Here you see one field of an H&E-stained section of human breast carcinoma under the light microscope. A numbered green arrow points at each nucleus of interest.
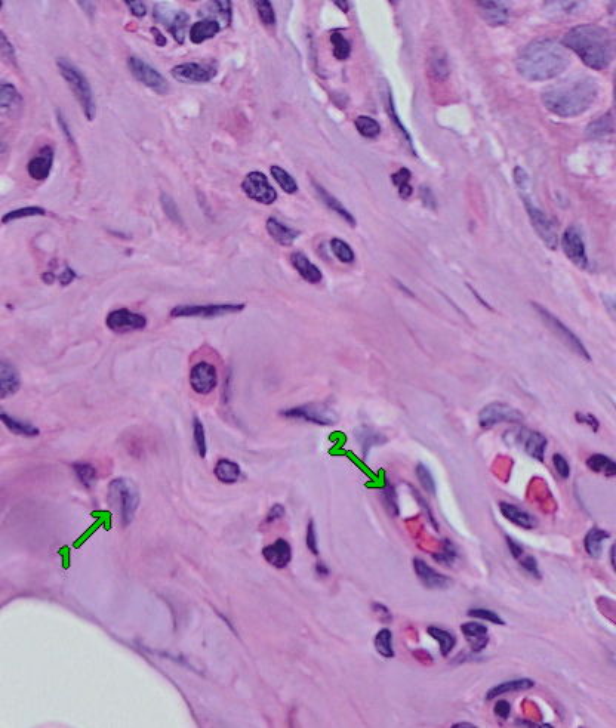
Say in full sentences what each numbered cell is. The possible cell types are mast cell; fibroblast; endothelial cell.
Cell 1 is a fibroblast and cell 2 is an endothelial cell.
